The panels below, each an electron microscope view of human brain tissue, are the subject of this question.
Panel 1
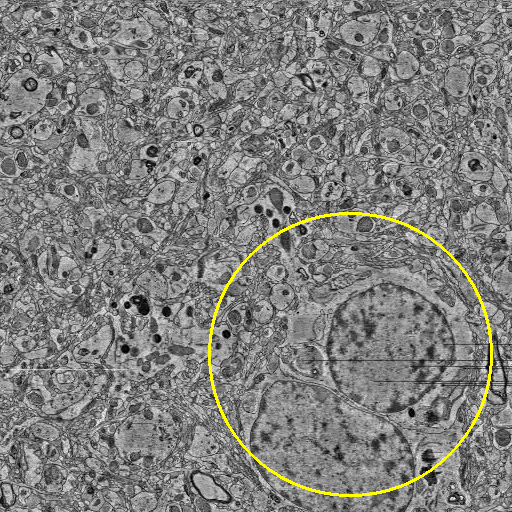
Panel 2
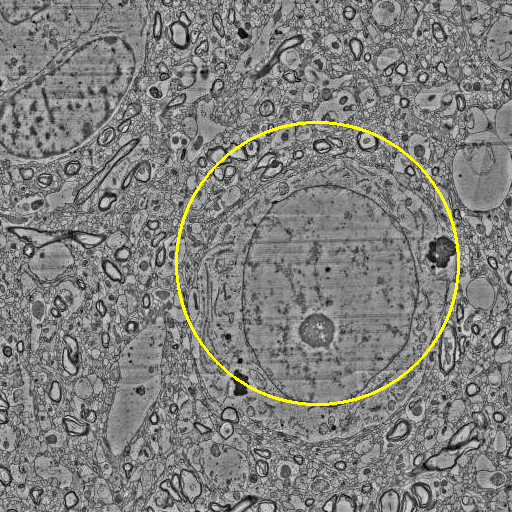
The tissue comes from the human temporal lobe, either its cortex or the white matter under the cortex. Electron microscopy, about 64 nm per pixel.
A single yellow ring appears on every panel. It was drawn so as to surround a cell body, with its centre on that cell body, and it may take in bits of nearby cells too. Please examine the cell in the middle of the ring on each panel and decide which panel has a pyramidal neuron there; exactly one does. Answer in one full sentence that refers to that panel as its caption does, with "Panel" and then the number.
Panel 2 is where the ring's central cell answers the question.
